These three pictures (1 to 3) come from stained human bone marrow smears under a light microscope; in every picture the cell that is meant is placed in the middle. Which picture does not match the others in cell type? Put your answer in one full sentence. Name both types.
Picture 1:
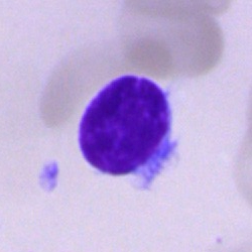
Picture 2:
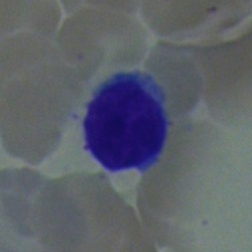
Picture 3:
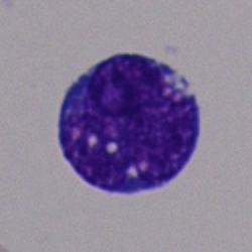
The others show lymphocytes, but picture 3 shows a blast.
